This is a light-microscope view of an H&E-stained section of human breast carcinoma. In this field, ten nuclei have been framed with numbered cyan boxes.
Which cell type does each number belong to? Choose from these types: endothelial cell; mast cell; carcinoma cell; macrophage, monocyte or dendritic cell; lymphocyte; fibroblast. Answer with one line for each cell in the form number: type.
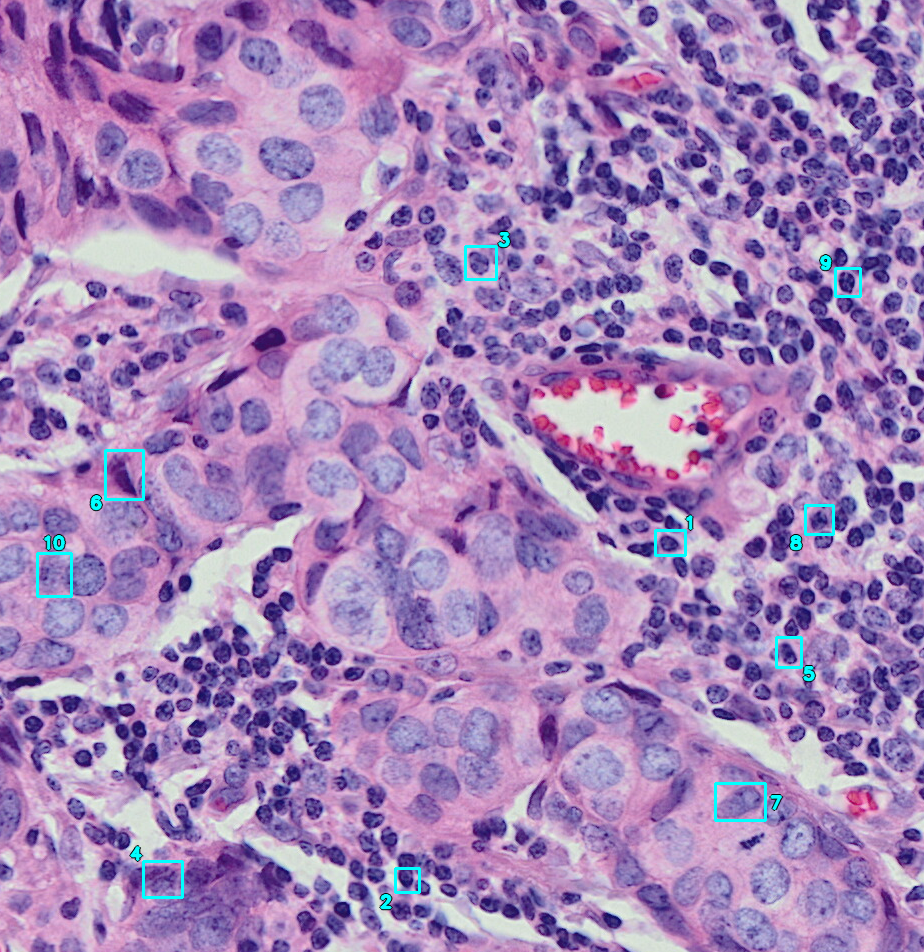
1: lymphocyte
2: lymphocyte
3: lymphocyte
4: carcinoma cell
5: lymphocyte
6: carcinoma cell
7: carcinoma cell
8: lymphocyte
9: lymphocyte
10: carcinoma cell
